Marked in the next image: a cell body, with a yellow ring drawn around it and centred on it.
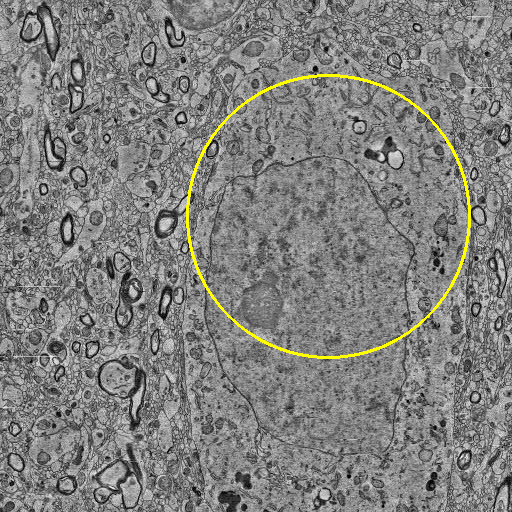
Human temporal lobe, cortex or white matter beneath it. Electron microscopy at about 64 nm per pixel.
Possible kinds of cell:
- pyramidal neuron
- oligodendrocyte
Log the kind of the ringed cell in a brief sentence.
The ringed cell body is that of a pyramidal neuron.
